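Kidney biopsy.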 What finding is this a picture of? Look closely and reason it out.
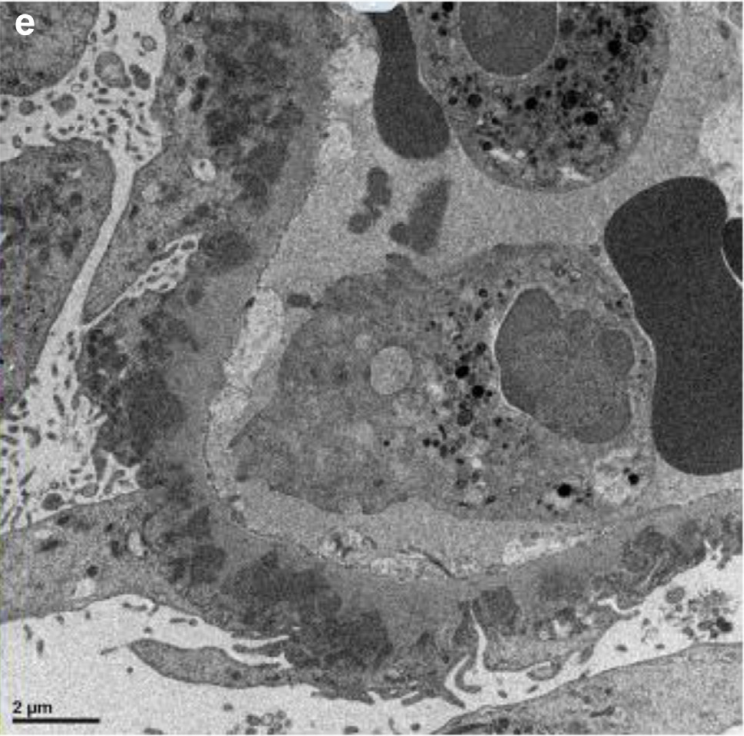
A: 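Dark, irregular granular masses lie along the outer side of the capillary wall. The deposits sit between the basement membrane and the overlying epithelial cell cytoplasm. That points to this answer: amorphous subepithelial electron-dense deposits.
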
